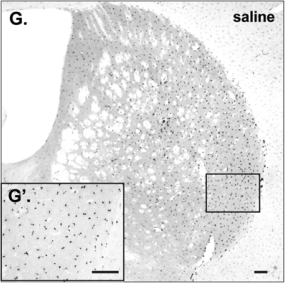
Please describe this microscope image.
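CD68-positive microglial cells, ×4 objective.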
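The grey matter is pierced by many pale round and oval bundles of fibres, giving the tissue a speckled look. The dark cells are small and lie singly, most crowded toward the lower right edge of the section. In the enlarged inset they appear as tiny dark bodies with short thin processes, spaced fairly evenly across the pale background.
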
